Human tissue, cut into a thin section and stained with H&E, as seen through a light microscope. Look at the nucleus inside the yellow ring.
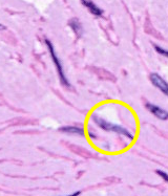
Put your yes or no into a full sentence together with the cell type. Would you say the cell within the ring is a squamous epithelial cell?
No, the cell within the ring is recognized as a fibroblast rather than a squamous epithelial cell.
